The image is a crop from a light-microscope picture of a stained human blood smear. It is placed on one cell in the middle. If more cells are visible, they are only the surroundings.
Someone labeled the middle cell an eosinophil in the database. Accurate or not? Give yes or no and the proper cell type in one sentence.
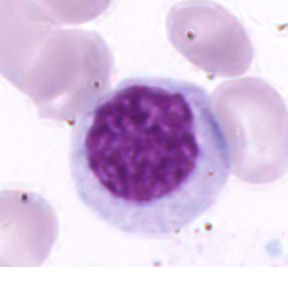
No, the centrally located cell is a myelocyte rather than an eosinophil.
